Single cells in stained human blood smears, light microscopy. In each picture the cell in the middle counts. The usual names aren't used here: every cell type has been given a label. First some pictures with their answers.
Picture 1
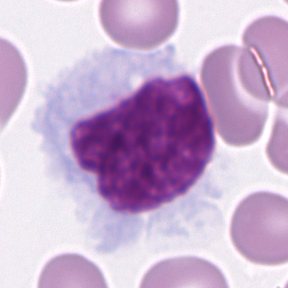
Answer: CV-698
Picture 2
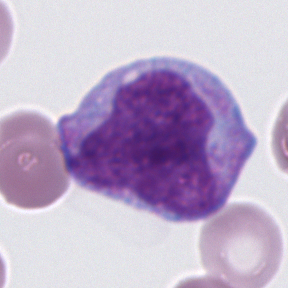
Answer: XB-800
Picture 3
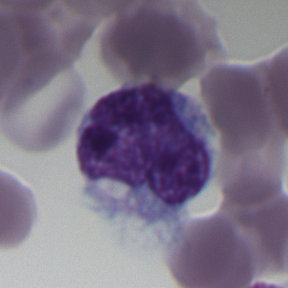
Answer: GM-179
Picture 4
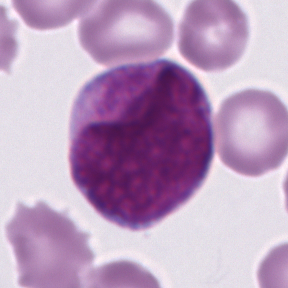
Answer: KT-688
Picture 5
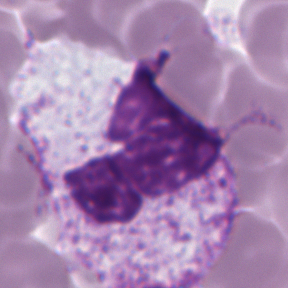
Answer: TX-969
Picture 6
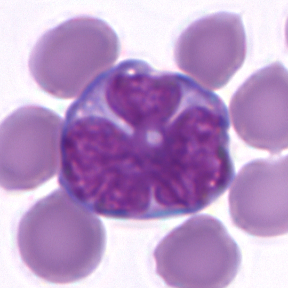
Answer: GM-179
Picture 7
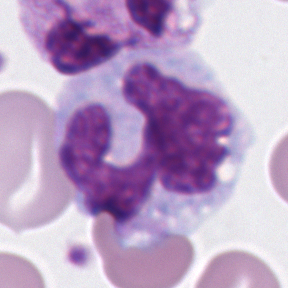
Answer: GM-179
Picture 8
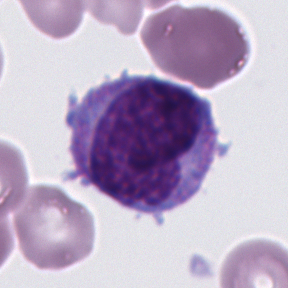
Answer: XB-800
